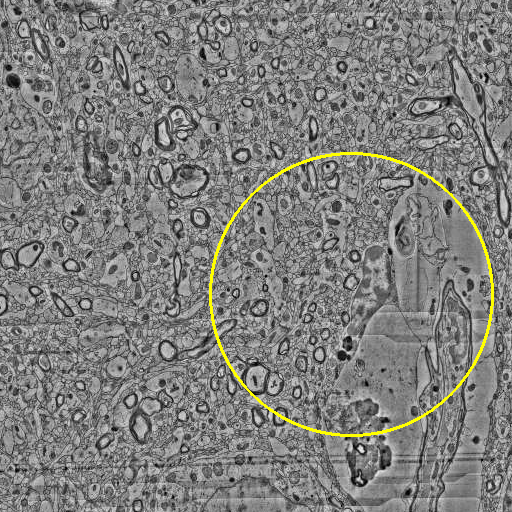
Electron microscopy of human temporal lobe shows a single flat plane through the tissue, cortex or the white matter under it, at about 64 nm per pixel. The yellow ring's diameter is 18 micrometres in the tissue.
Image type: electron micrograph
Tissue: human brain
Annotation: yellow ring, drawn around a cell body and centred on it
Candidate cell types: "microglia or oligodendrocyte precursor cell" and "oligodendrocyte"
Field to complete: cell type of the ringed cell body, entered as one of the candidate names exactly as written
microglia or oligodendrocyte precursor cell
